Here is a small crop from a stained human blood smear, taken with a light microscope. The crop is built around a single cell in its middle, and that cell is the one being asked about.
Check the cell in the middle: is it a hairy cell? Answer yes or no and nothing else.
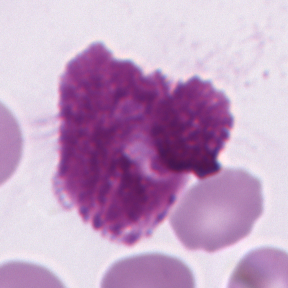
no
